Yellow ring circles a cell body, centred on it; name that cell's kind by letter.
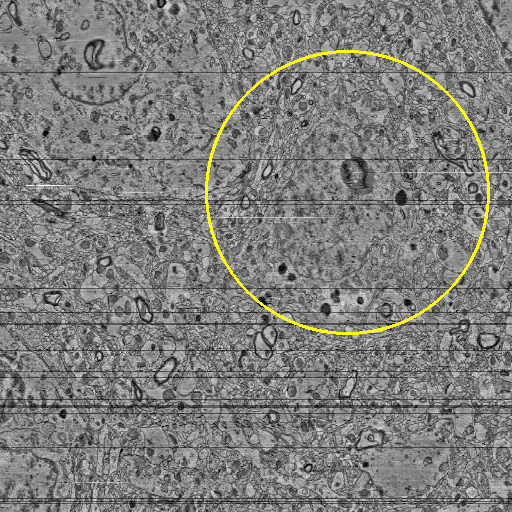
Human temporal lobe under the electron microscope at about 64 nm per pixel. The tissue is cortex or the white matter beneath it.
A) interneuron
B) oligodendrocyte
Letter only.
A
